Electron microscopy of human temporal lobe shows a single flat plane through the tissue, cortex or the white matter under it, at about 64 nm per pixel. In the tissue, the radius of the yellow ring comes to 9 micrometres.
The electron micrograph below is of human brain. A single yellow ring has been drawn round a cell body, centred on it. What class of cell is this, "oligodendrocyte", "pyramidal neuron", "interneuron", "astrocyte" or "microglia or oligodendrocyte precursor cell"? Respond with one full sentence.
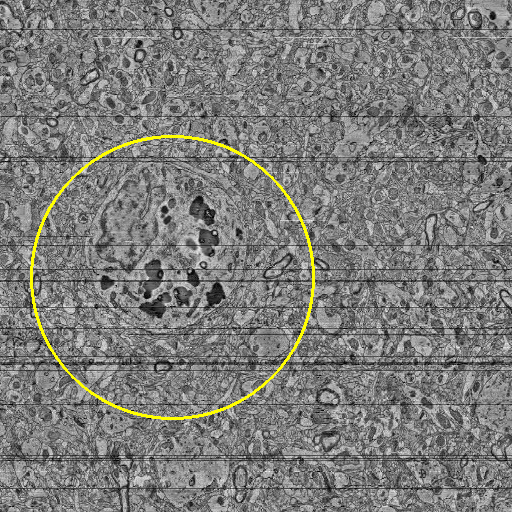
In the micrograph, the cell centred inside the yellow ring is an interneuron.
